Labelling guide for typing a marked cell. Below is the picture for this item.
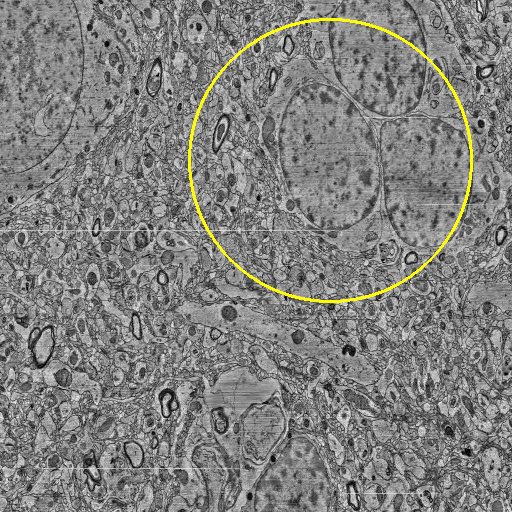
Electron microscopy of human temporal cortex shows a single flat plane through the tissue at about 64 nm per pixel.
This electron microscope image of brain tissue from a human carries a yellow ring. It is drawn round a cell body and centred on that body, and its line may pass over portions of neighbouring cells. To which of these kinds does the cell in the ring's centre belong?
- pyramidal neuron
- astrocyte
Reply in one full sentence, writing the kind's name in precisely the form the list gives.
Here we have an astrocyte at the centre of the yellow ring in the picture.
